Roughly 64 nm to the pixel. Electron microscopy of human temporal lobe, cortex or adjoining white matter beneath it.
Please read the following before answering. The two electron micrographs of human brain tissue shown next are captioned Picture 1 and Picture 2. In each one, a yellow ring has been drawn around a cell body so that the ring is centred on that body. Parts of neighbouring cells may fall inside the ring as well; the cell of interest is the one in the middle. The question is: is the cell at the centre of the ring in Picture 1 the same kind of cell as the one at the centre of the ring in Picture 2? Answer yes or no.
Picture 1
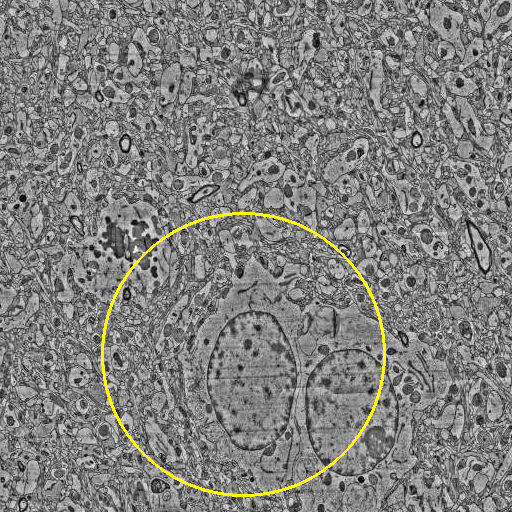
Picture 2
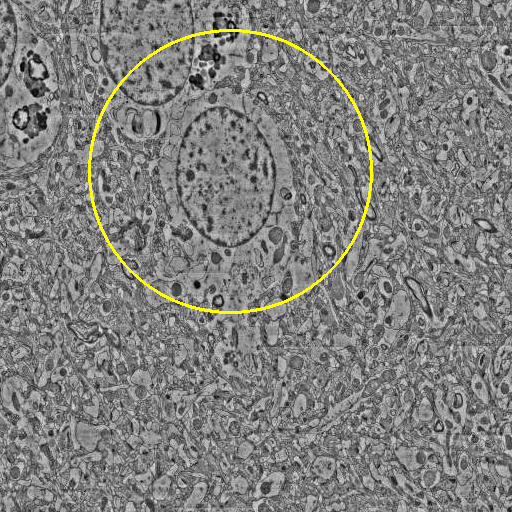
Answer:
yes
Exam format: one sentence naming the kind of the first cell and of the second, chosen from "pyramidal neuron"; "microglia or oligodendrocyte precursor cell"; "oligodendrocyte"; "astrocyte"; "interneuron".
The cell at the ring centre is an astrocyte in both pictures.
